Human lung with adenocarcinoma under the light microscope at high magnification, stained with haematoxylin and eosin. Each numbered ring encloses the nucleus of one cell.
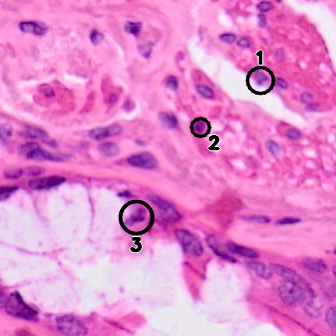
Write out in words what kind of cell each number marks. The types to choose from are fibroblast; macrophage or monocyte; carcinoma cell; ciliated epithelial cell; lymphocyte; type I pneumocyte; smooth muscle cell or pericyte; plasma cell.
Cell 1 is a smooth muscle cell or pericyte, cell 2 is a smooth muscle cell or pericyte and cell 3 is a ciliated epithelial cell.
